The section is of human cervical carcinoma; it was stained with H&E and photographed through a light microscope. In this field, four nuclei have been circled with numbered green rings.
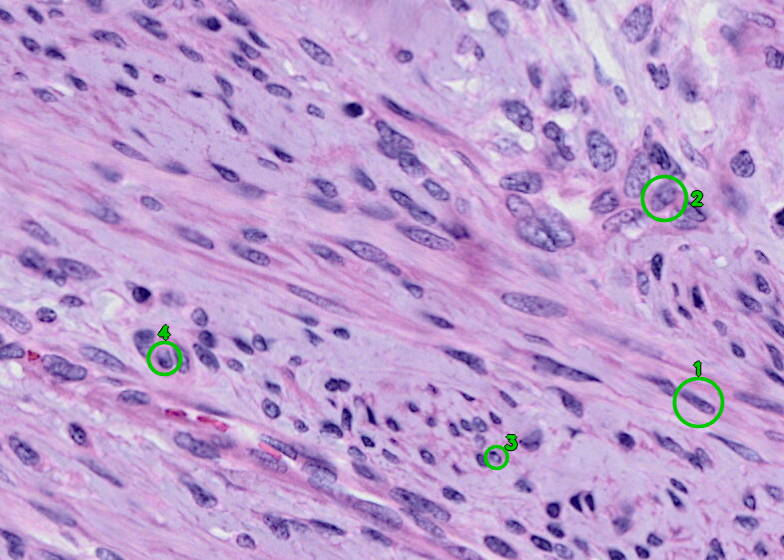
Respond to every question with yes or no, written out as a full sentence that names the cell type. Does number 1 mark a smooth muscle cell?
Yes, the cell at the mark numbered 1 is a smooth muscle cell.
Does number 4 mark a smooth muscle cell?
No, the cell carrying number 4 is an endothelial cell, not a smooth muscle cell.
